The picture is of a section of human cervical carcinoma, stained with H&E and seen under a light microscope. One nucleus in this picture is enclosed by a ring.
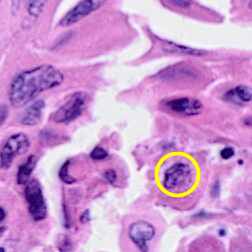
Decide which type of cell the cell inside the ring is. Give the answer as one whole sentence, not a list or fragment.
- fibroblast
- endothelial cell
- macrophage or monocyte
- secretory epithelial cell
It is a macrophage or monocyte that the cell inside the ring represents.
